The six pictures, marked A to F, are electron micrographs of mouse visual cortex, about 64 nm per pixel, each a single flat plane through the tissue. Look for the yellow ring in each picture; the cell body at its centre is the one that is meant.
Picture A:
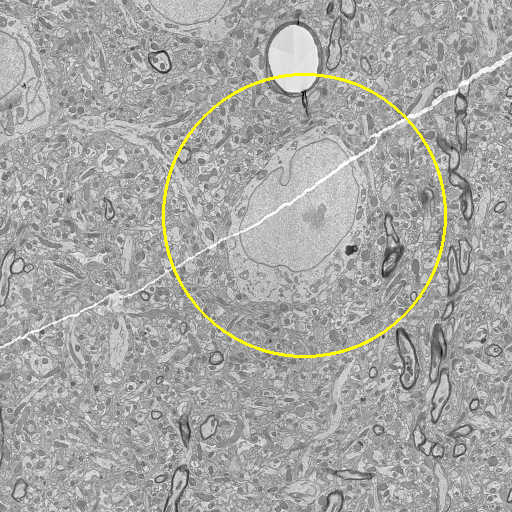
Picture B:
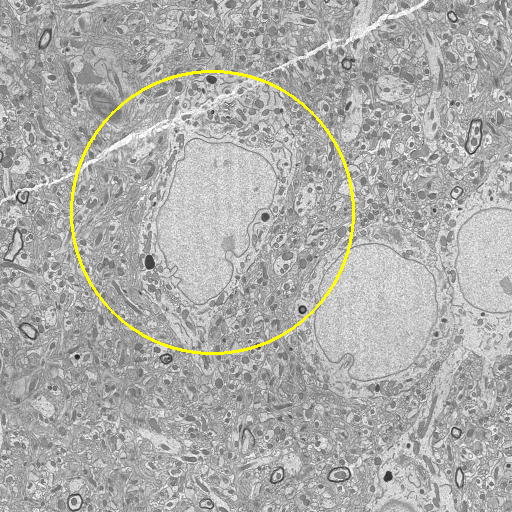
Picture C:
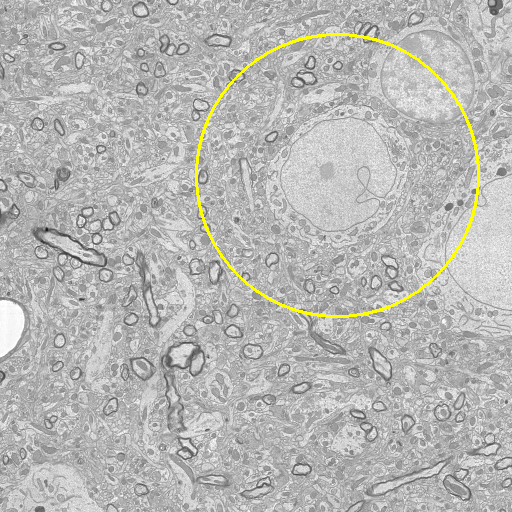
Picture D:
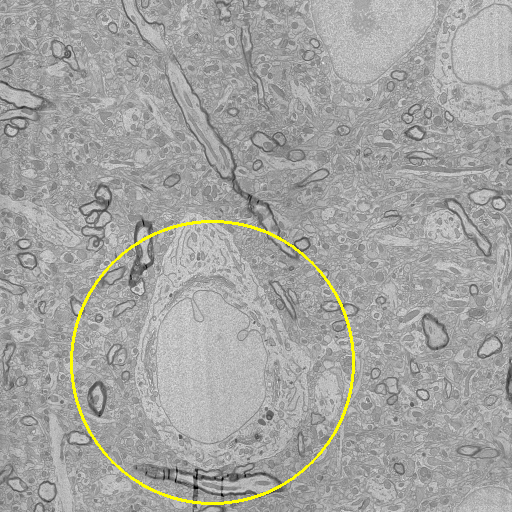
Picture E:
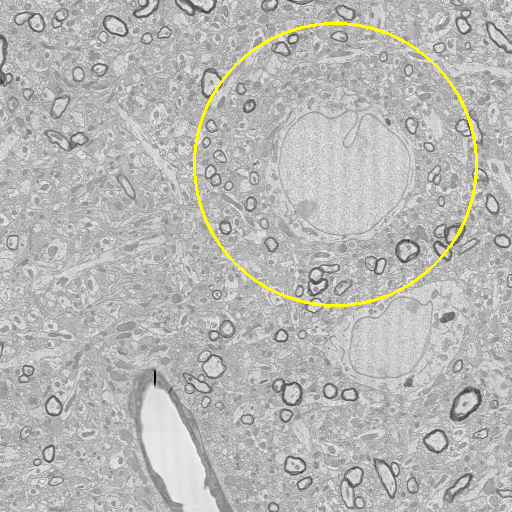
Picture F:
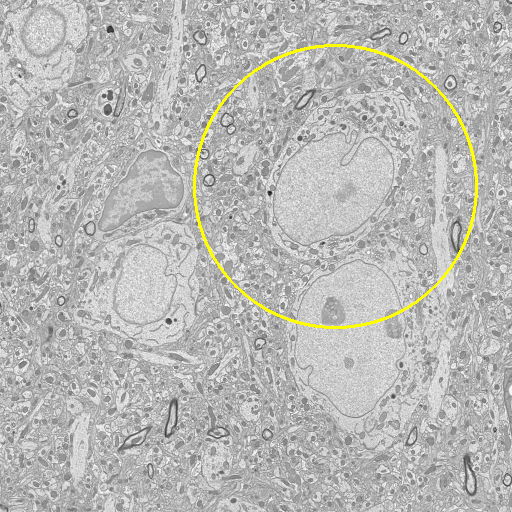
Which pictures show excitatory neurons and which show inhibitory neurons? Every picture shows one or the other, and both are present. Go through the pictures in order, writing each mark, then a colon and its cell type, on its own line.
A: excitatory neuron
B: inhibitory neuron
C: inhibitory neuron
D: inhibitory neuron
E: excitatory neuron
F: inhibitory neuron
